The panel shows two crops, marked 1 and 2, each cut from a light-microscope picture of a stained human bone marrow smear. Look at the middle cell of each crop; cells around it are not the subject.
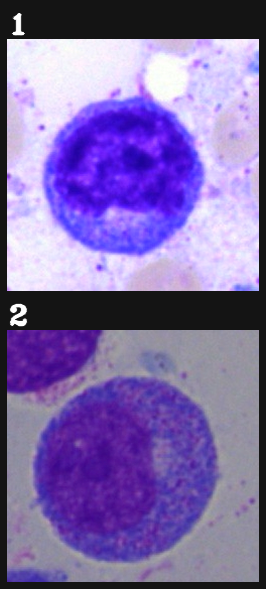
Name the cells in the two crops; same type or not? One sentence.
Yes, the two cells in the two crops are promyelocytes.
